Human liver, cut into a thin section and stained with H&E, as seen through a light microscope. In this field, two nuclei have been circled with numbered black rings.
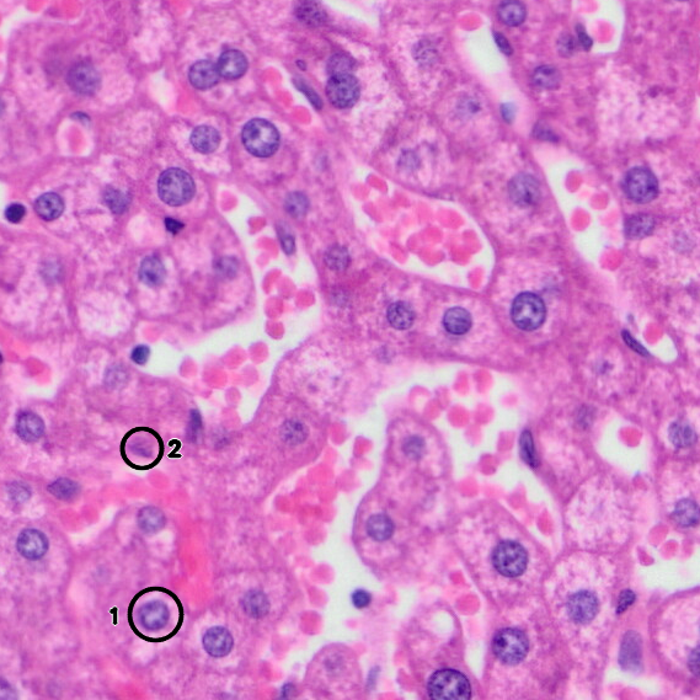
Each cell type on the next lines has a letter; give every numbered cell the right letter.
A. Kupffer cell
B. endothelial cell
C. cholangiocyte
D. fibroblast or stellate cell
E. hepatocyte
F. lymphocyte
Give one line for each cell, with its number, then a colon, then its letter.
1: E
2: B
